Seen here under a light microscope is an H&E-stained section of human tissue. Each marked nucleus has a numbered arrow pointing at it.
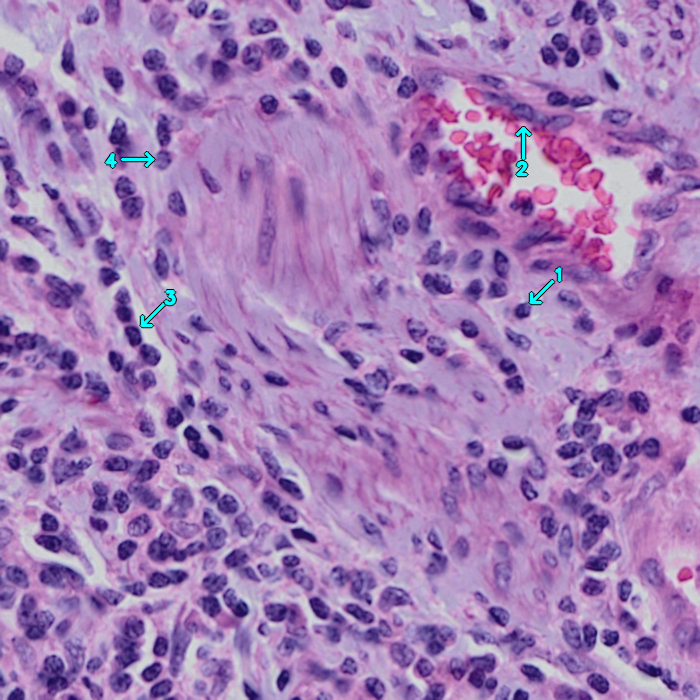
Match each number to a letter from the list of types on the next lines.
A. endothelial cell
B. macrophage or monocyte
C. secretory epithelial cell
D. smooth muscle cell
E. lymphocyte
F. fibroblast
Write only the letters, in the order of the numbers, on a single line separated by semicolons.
E; A; E; E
